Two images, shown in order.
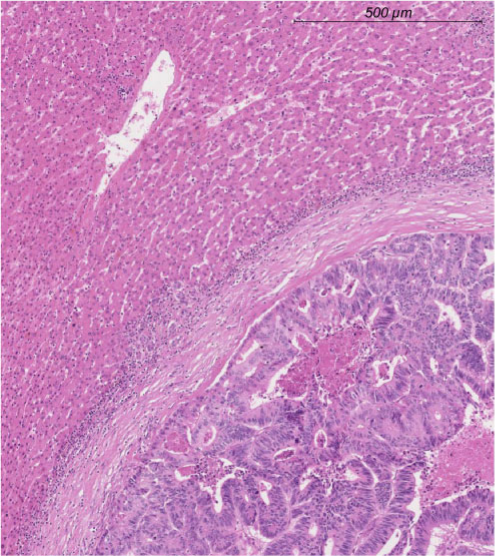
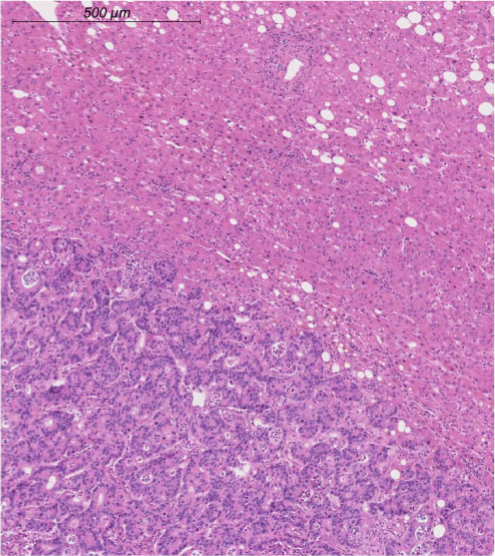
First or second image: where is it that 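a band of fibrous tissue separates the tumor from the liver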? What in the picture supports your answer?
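The first image. Second image: tumor cells lie directly against hepatocyte plates with no fibrous band between them. First image: a broad pale pink fibrous band curves between the tumor and the liver.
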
